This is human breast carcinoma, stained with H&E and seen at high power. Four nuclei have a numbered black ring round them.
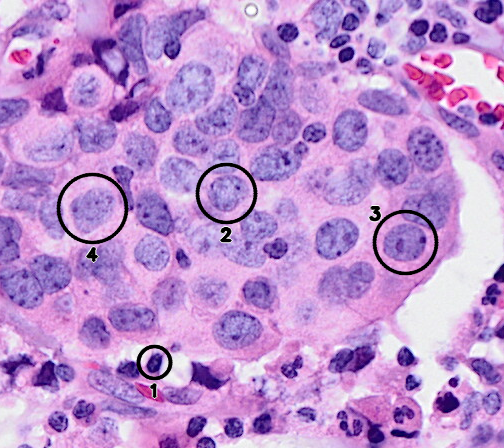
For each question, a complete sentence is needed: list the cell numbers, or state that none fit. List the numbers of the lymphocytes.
Unlike the other numbered cells, cell 1 is a lymphocyte.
